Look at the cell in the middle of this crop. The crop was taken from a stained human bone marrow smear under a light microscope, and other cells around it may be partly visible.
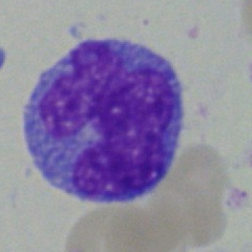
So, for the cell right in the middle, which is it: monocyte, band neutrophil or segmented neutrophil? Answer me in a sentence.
In the centre of this crop there is a monocyte.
